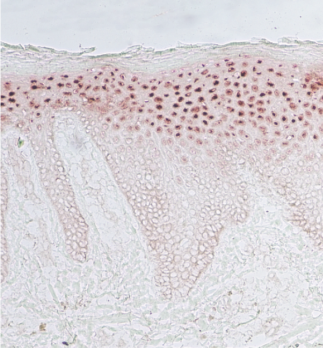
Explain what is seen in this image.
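This is a section of markedly thickened epidermis with long, downward-extending rete ridges separated by narrow dermal papillae, over pale loose dermis. Many keratinocyte nuclei in the upper, suprabasal layers are stained dark red, while the lower epidermis and the tips of the rete ridges show pale cells with few stained nuclei.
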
